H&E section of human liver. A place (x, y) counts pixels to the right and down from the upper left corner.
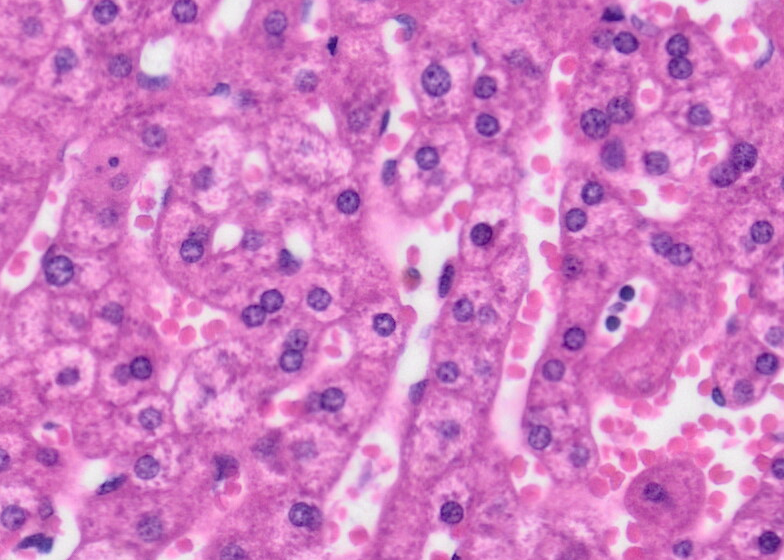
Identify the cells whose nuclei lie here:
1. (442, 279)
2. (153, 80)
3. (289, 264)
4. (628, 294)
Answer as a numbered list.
1. Kupffer cell
2. endothelial cell
3. endothelial cell
4. lymphocyte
